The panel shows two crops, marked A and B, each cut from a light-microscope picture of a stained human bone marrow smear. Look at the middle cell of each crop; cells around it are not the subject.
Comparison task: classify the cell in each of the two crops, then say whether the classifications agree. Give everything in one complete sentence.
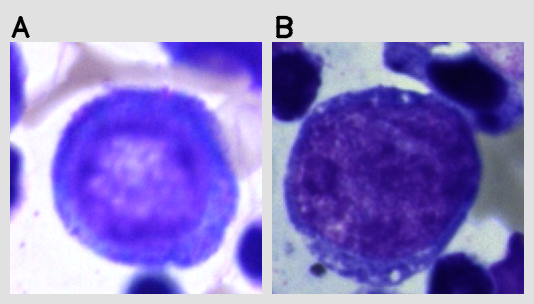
No, crop A carries a promyelocyte and crop B carries a blast.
